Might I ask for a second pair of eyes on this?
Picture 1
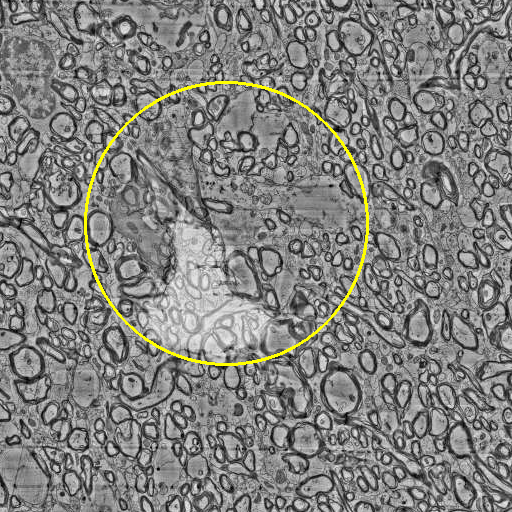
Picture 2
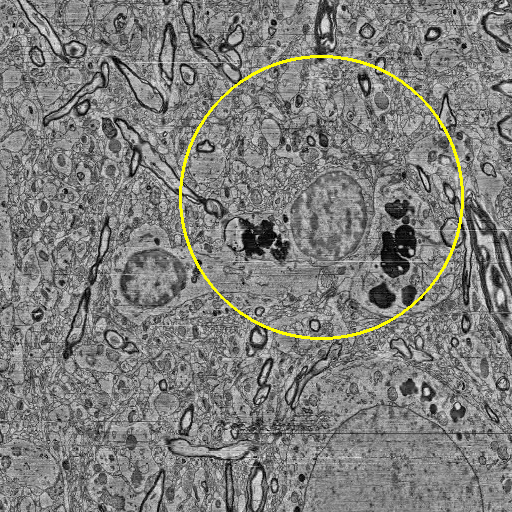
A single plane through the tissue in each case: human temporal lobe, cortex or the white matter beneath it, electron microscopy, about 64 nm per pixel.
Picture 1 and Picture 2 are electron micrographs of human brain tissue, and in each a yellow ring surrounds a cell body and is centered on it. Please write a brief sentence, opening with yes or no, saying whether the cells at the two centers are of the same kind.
Yes, the cells are of the same kind.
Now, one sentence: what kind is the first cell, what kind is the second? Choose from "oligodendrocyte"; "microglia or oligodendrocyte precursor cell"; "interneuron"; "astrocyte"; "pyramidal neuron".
Both cells are the same kind, each one being an oligodendrocyte.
